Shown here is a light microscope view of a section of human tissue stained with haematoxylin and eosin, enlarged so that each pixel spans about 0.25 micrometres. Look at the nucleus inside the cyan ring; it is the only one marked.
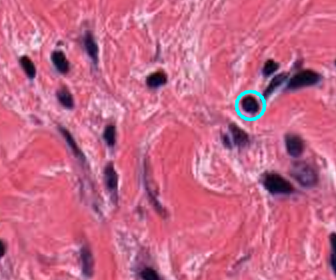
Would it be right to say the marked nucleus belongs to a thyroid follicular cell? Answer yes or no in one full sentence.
No, the marked nucleus lies within a supporting cell, not within a thyroid follicular cell.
